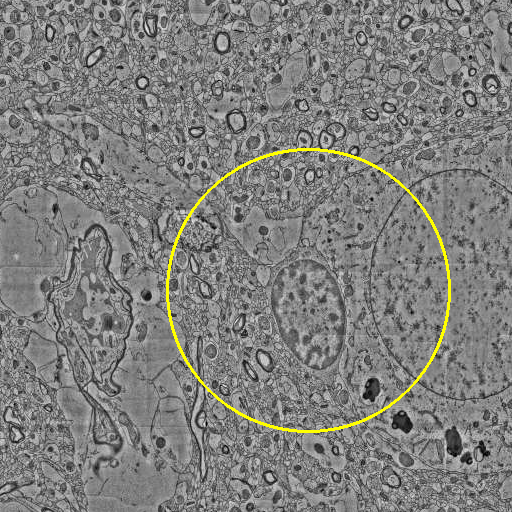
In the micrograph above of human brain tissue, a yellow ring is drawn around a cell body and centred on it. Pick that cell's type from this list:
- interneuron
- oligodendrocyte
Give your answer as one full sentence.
Going by the list, an oligodendrocyte is the cell on which the yellow ring is centred.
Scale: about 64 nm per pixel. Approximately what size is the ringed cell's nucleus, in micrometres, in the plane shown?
Approximately 7 micrometres long and 5 micrometres wide, so clearly longer than it is wide in this plane.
